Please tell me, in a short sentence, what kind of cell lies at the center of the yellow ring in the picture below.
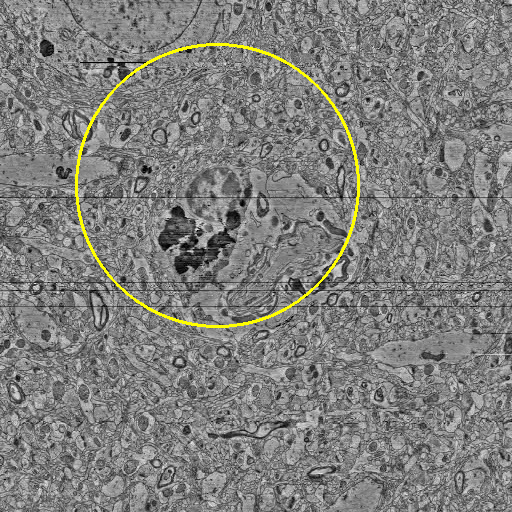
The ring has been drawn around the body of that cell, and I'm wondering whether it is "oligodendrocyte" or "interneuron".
The cell at the center of the ring is an oligodendrocyte.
